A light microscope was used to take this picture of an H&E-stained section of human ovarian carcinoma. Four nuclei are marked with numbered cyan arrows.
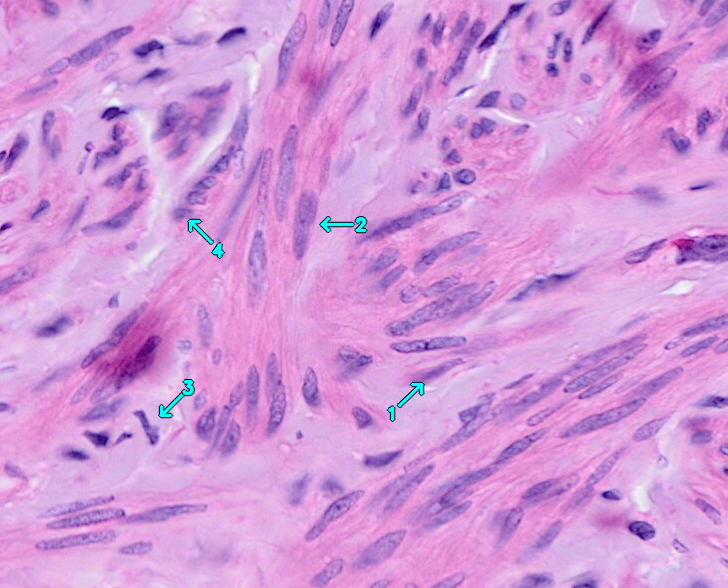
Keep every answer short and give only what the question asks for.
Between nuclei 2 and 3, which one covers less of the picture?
3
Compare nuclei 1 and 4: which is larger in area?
1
